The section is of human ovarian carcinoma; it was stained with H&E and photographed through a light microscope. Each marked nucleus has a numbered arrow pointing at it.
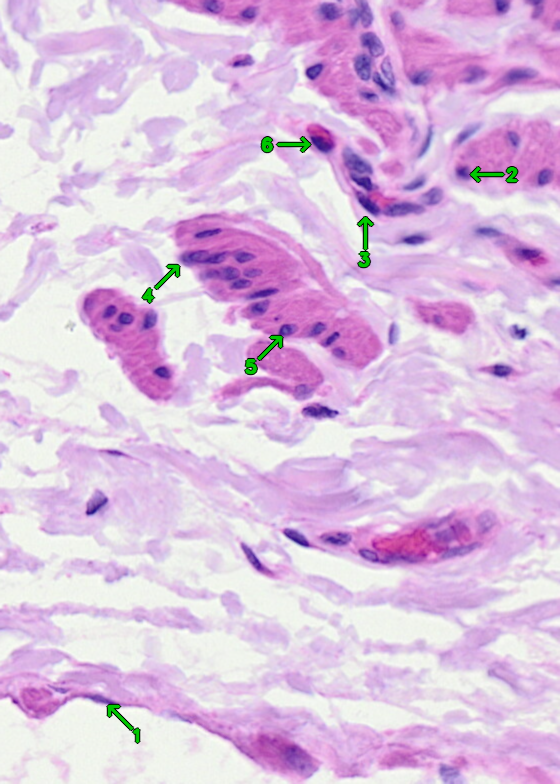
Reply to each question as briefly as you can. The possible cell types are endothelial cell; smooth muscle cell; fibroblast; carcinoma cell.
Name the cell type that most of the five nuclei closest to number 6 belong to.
endothelial cell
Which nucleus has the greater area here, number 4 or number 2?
4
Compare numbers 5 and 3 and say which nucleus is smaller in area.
5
